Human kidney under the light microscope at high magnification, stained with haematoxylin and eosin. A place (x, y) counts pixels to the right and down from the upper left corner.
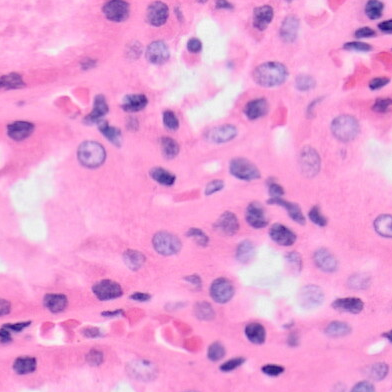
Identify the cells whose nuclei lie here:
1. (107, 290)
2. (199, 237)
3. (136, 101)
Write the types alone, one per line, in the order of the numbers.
proximal tubule cell
loop of Henle or distal tubule cell
loop of Henle or distal tubule cell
